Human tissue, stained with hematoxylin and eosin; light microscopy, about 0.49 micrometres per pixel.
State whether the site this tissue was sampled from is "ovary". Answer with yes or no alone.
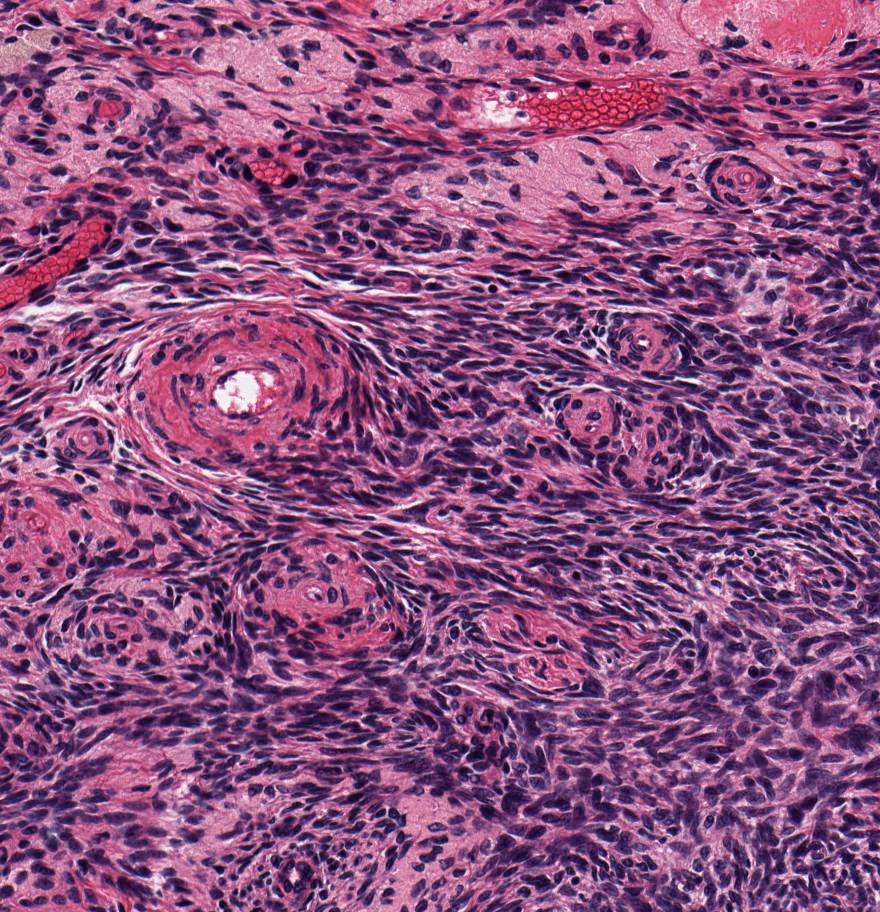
yes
